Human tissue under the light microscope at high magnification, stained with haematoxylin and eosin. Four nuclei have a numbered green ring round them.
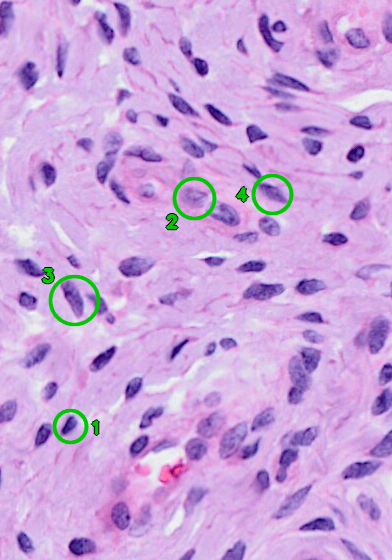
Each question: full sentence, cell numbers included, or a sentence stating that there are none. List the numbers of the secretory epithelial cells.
Across all the numbered cells, secretory epithelial cells are absent.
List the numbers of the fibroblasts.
The cells bearing the numbers 1, 3 and 4 are fibroblasts.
